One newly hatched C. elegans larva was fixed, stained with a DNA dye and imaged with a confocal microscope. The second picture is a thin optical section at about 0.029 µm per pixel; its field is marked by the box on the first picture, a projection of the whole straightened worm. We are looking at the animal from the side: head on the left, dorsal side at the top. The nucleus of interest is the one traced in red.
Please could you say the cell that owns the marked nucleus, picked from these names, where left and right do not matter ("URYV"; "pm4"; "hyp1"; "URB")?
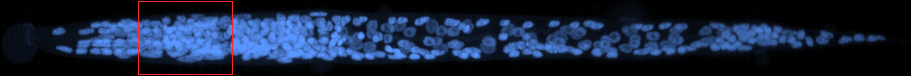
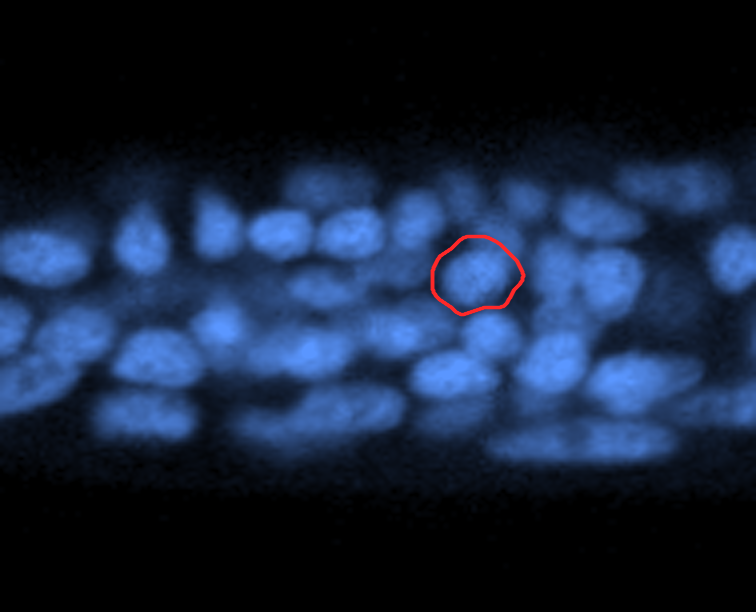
URB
